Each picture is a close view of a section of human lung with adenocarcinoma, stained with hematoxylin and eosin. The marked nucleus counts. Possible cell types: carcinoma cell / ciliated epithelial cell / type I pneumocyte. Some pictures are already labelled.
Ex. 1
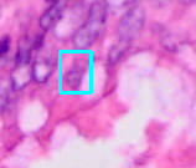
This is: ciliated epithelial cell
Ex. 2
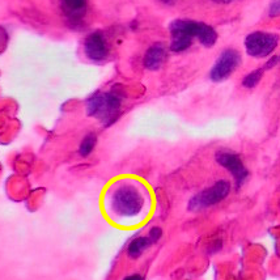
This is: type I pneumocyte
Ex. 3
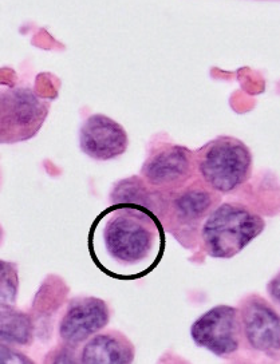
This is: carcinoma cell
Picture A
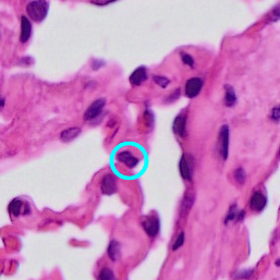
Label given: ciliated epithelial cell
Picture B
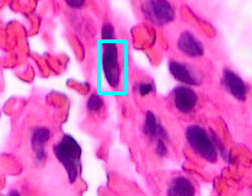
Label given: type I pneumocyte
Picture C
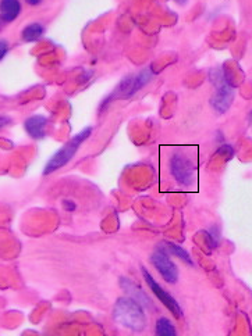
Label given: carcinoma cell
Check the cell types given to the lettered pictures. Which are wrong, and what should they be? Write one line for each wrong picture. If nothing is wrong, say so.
A: change ciliated epithelial cell to type I pneumocyte
C: change carcinoma cell to type I pneumocyte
